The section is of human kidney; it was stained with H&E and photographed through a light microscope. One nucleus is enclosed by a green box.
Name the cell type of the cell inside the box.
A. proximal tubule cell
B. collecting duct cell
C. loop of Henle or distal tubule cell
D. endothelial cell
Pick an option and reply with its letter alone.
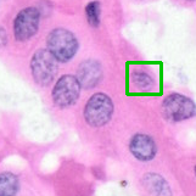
C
